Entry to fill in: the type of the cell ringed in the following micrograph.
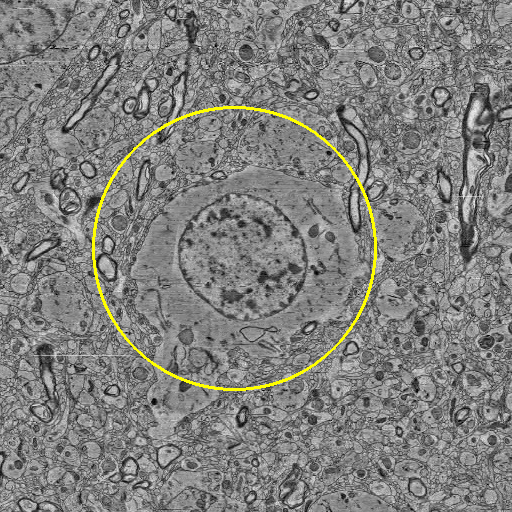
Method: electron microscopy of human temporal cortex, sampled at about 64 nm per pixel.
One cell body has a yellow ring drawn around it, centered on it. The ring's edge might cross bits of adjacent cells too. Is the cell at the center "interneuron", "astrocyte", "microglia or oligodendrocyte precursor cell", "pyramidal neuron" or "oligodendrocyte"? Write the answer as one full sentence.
This entry names an astrocyte as the cell whose body lies at the ring's center.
